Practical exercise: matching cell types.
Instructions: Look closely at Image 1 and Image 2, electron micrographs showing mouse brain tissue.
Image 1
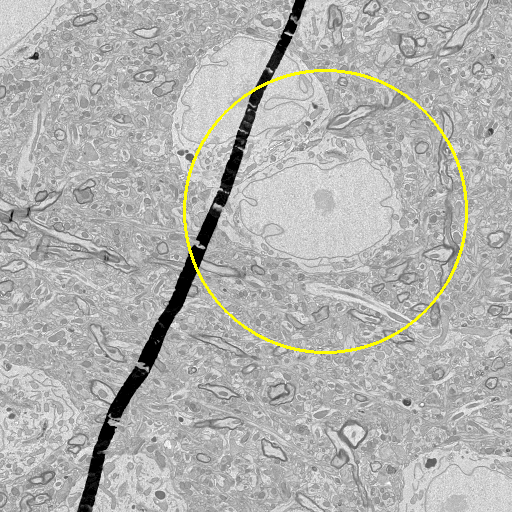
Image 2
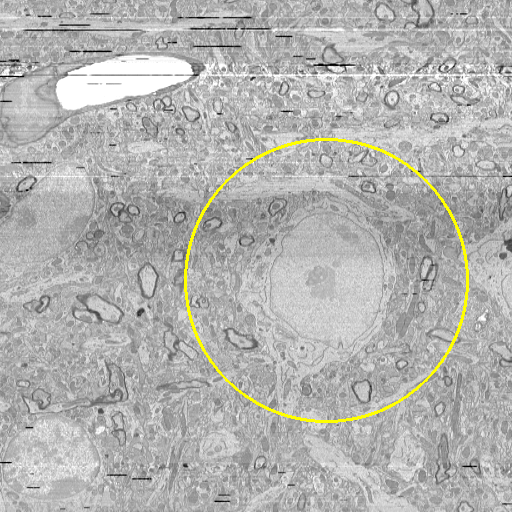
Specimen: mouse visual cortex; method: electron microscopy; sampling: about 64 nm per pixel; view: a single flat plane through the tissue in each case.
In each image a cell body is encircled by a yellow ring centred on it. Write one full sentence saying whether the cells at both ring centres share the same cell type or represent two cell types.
Across Image 1 and Image 2, the cells at the ring centres share the same cell type.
